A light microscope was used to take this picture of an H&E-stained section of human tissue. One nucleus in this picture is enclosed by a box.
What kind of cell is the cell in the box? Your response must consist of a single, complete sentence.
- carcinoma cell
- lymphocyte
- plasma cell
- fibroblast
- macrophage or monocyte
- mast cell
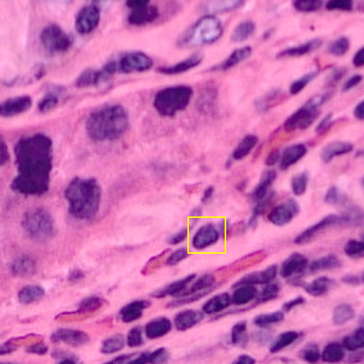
On this particular slide, the cell in the box is a lymphocyte.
